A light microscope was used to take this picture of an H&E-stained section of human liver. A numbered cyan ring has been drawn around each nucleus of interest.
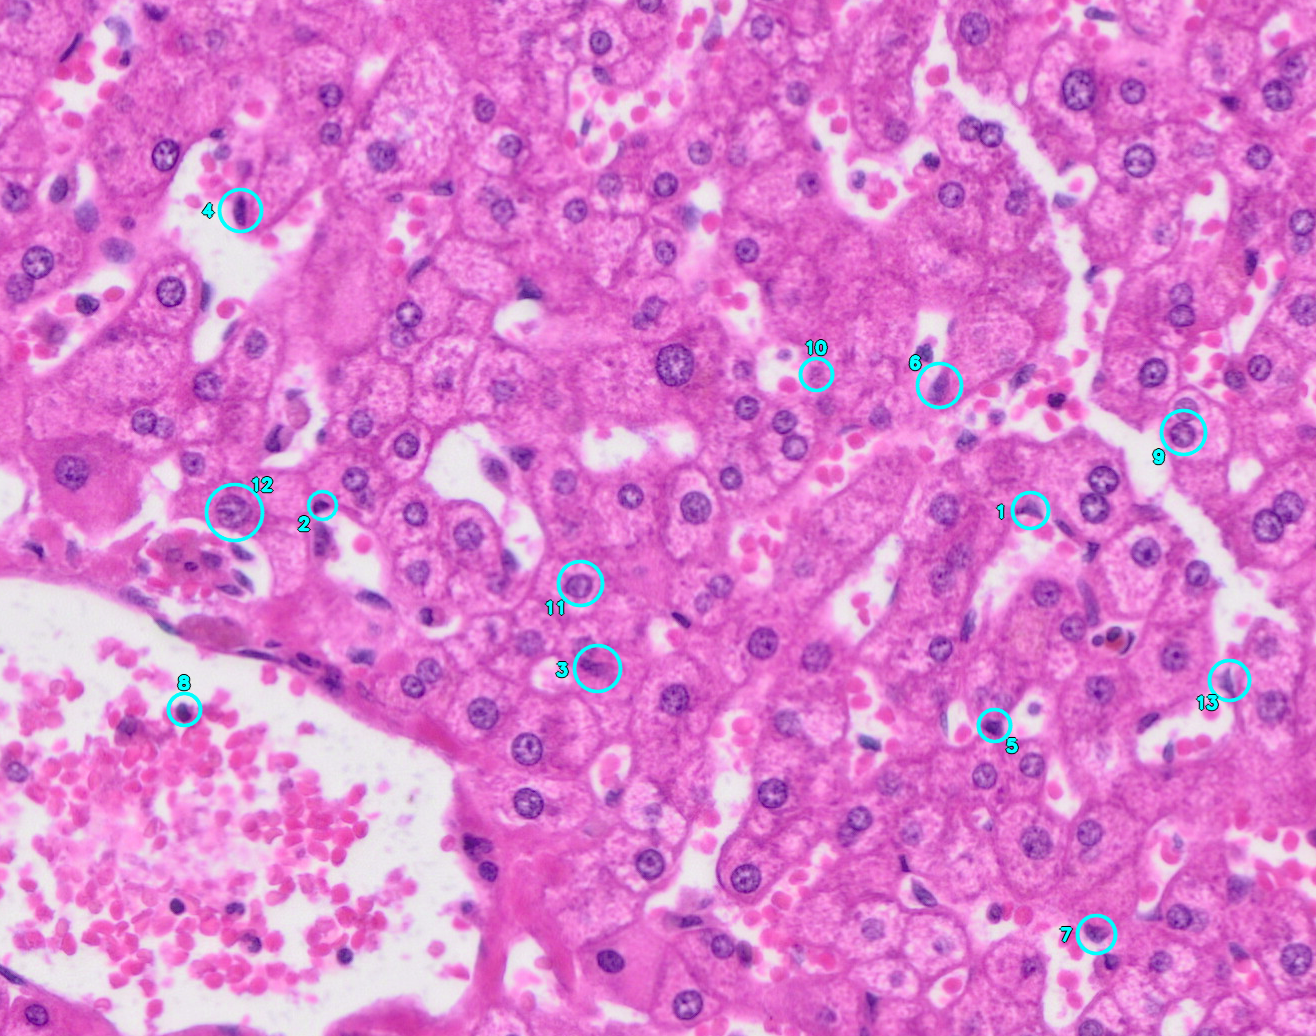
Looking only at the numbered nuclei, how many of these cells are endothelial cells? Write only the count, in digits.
3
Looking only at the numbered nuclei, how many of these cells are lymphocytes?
1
